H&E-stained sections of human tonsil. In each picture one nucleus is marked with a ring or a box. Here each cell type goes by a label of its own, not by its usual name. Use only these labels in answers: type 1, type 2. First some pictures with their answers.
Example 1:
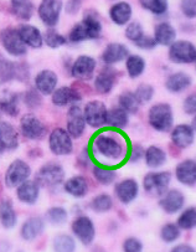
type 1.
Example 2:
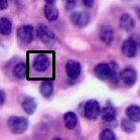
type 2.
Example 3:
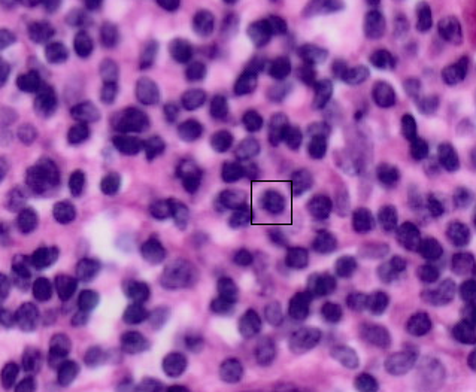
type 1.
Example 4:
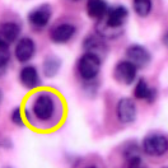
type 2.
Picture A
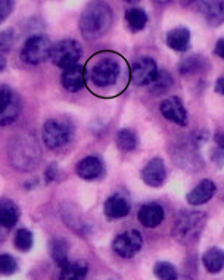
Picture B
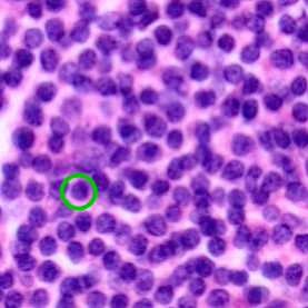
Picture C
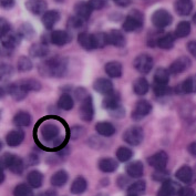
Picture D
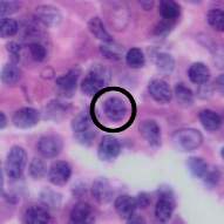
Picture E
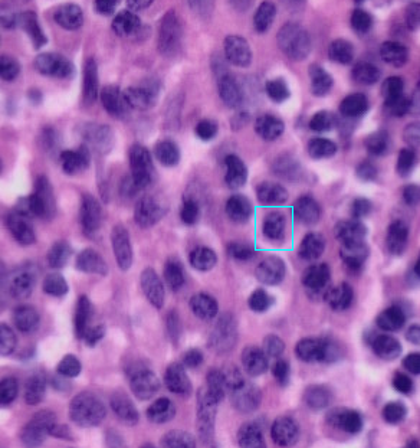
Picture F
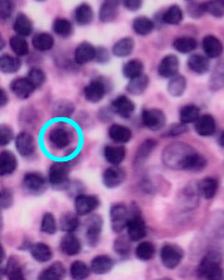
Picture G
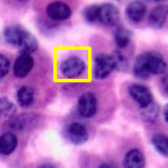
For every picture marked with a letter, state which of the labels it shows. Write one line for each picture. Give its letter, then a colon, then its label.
A: type 2.
B: type 1.
C: type 1.
D: type 2.
E: type 2.
F: type 1.
G: type 2.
